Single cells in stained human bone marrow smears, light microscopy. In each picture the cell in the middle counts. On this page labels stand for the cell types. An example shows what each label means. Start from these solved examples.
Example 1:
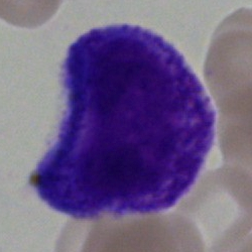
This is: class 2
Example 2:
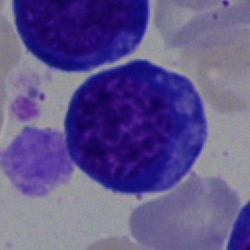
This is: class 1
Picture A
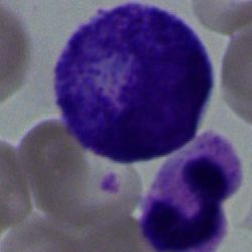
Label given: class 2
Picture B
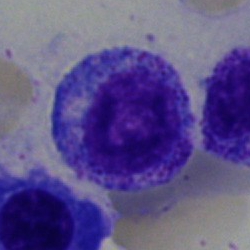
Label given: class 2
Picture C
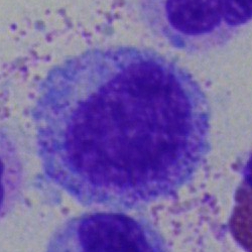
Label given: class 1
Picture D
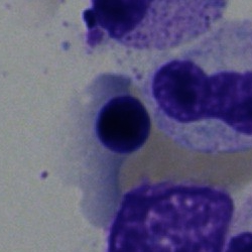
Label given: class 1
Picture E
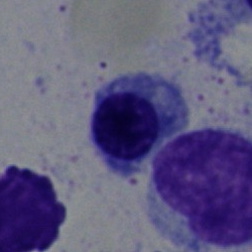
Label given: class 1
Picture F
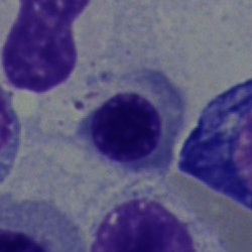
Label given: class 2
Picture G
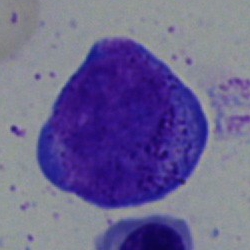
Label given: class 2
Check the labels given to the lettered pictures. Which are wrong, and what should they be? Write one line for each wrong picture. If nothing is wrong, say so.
Wrong: C (class 1); correct: class 2
Wrong: F (class 2); correct: class 1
